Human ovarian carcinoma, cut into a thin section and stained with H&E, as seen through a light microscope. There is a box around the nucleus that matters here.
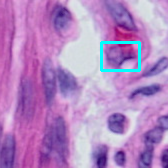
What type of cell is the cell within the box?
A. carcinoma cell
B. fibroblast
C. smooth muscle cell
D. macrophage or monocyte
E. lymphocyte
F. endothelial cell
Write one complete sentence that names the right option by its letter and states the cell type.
Option F is right in classifying the cell within the box as an endothelial cell.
